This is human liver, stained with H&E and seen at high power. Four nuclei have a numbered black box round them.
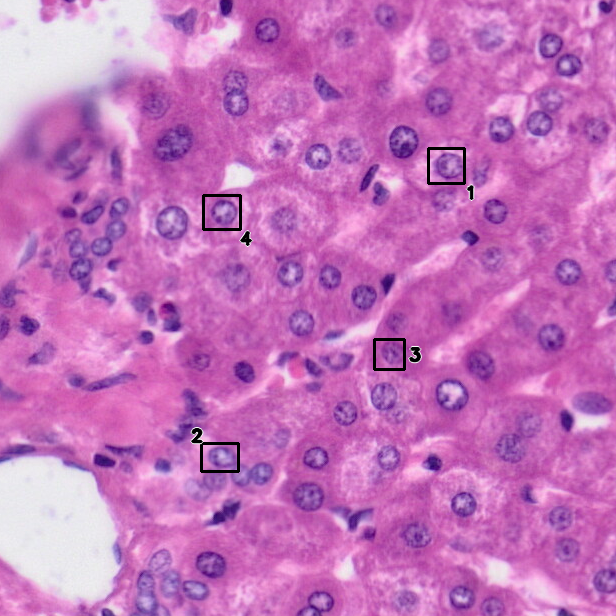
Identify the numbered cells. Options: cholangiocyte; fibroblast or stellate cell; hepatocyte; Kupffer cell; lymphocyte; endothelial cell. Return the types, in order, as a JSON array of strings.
["hepatocyte", "cholangiocyte", "hepatocyte", "hepatocyte"]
